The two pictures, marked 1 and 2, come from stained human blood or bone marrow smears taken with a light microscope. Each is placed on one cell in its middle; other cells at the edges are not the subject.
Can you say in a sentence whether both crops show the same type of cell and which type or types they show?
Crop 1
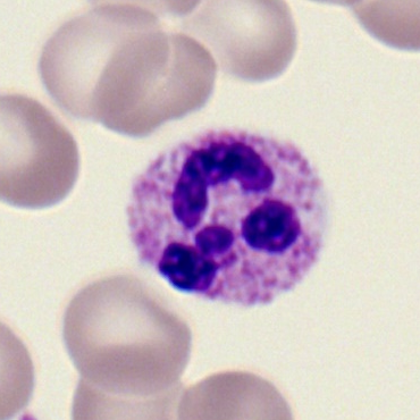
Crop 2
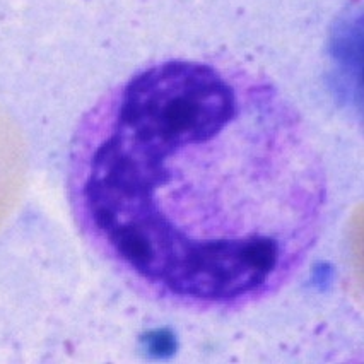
Yes, both crops show neutrophils in the centre of the field.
